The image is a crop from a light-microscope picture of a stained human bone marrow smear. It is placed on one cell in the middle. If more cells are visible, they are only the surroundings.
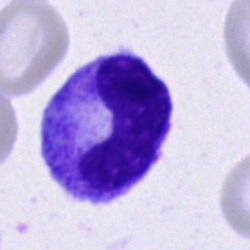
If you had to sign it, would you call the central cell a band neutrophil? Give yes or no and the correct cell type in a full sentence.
Yes, the cell in the middle is rightly called a band neutrophil.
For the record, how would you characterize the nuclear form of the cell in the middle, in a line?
What stands out is a nucleus forming one compact round, oval or kidney-shaped mass.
